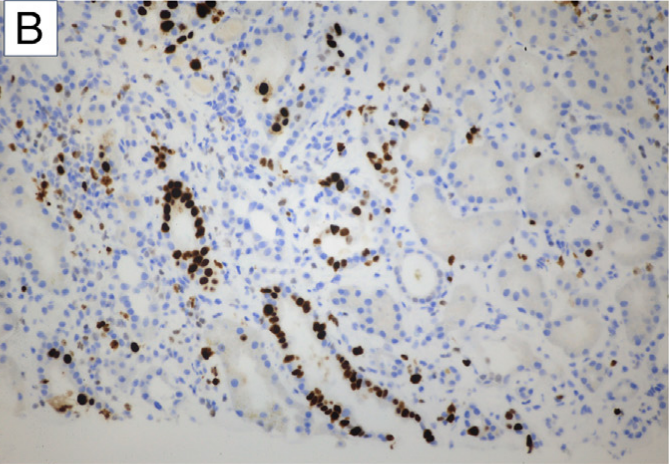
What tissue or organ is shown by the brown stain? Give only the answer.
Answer: Tubular epithelium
